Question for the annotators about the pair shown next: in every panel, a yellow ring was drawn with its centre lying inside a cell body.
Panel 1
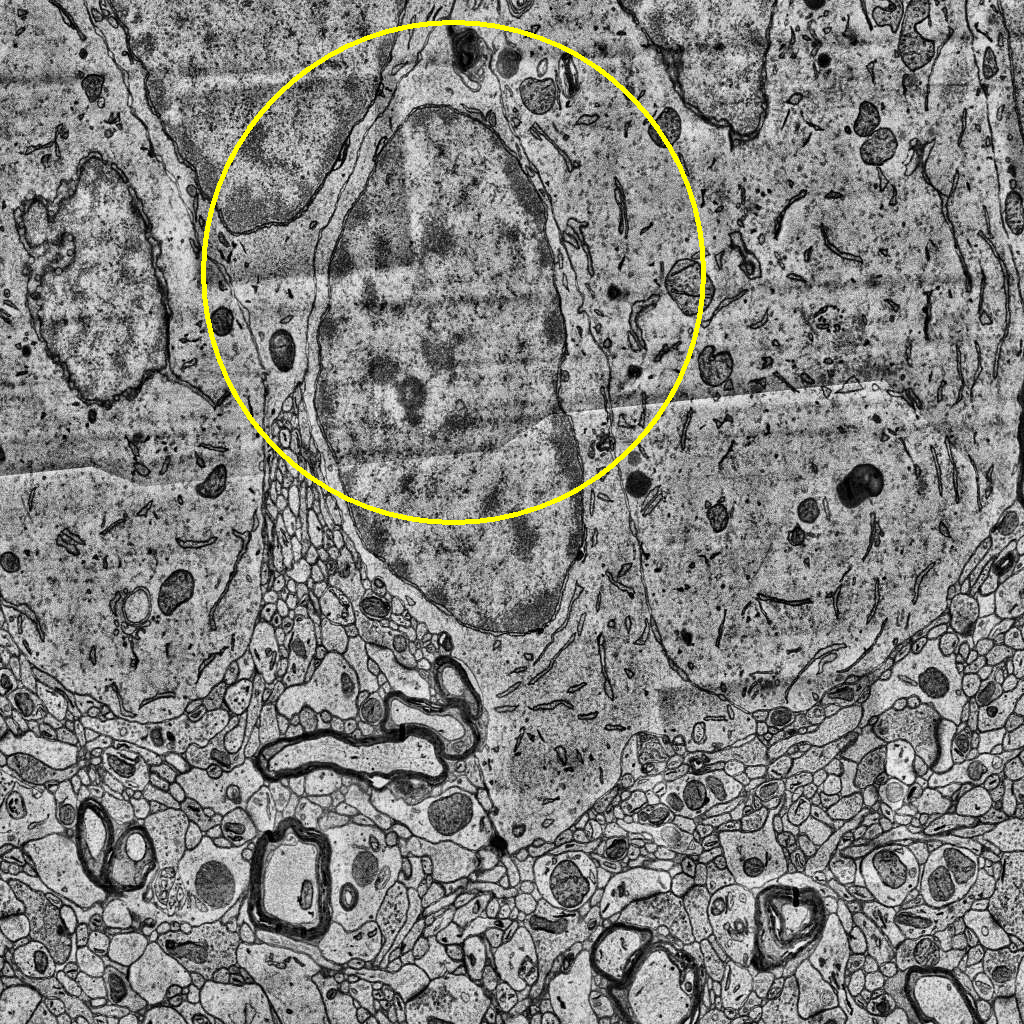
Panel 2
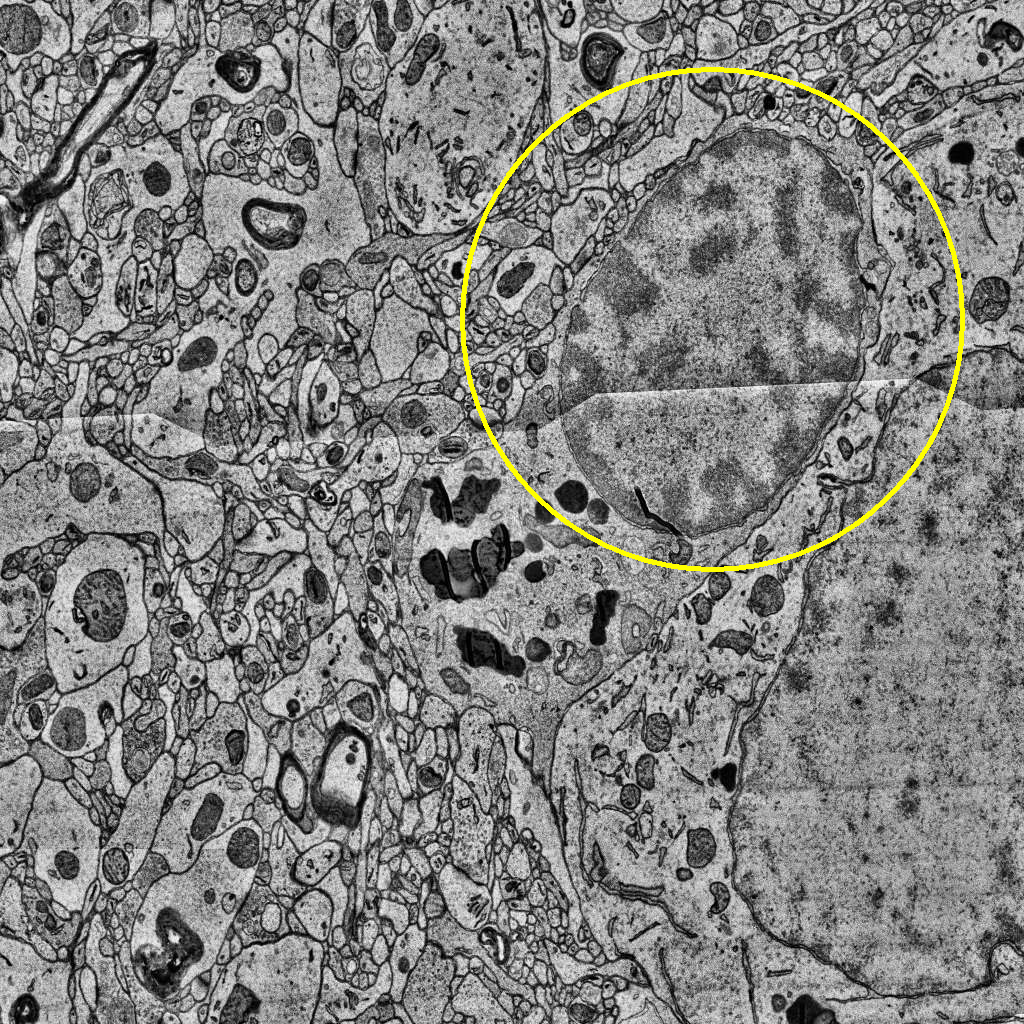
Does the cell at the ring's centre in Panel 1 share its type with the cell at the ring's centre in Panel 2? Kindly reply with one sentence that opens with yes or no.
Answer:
No, in Panels 1 and 2 the cells at the ring centres belong to separate types.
